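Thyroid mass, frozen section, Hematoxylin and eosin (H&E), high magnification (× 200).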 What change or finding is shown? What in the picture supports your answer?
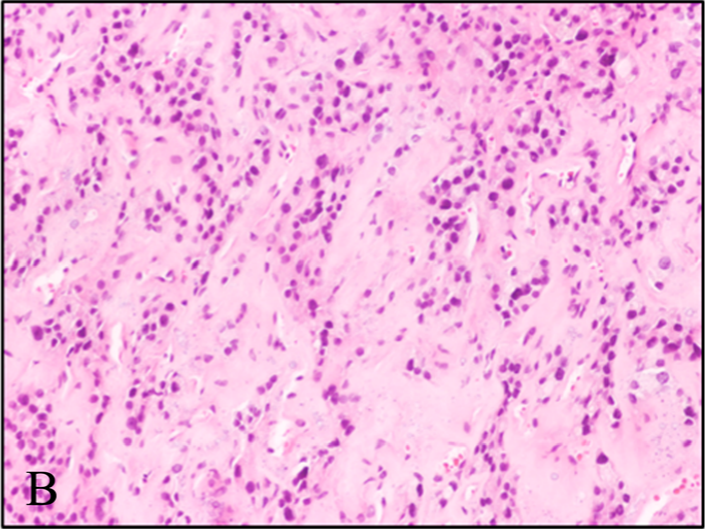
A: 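Nuclei are lined up in cords and narrow bands. The cords run between broad pink areas with few nuclei.
Trabecular pattern.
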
